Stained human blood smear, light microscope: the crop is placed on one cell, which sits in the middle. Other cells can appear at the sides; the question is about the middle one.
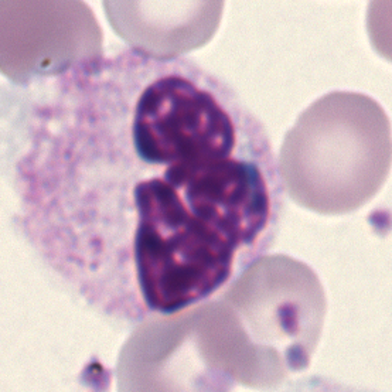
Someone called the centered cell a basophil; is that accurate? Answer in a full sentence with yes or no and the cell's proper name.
No, calling it a basophil is wrong; the middle cell is a segmented neutrophil.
